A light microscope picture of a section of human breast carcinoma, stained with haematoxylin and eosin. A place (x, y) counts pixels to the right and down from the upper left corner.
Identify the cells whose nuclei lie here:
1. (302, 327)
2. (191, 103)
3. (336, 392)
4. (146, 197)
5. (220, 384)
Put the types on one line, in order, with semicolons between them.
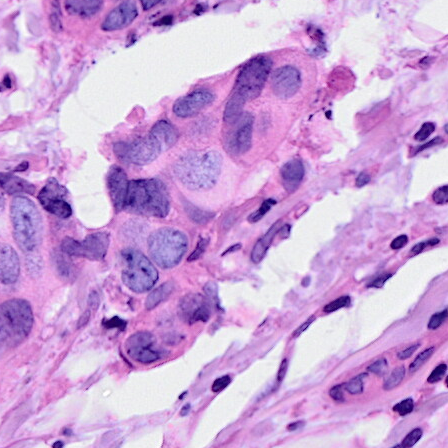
fibroblast; carcinoma cell; endothelial cell; carcinoma cell; lymphocyte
